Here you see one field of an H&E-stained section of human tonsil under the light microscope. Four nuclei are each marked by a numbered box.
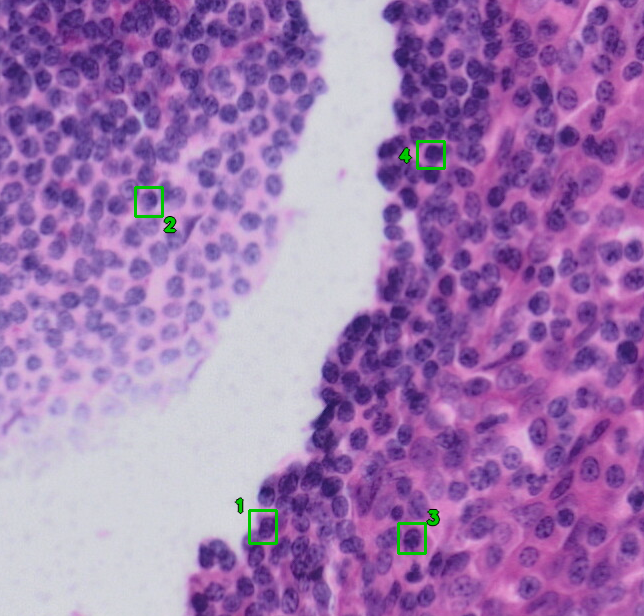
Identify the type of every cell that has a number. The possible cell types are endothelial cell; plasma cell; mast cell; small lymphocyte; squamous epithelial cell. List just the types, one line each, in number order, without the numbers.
small lymphocyte
small lymphocyte
plasma cell
small lymphocyte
